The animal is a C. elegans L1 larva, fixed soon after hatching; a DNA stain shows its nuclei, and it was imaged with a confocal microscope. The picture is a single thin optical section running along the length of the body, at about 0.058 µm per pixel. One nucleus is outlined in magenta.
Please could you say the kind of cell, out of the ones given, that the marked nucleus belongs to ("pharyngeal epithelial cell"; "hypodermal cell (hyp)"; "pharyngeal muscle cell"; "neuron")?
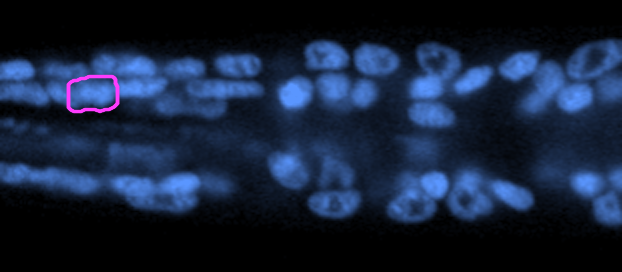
pharyngeal muscle cell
